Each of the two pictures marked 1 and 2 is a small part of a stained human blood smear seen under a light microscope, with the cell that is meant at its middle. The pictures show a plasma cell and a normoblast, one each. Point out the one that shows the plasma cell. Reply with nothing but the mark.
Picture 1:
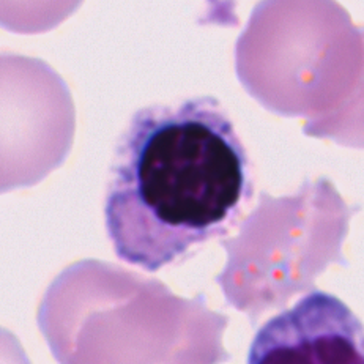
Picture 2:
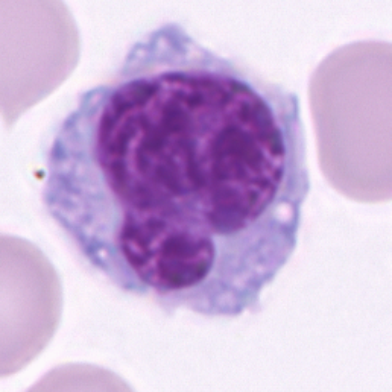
2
